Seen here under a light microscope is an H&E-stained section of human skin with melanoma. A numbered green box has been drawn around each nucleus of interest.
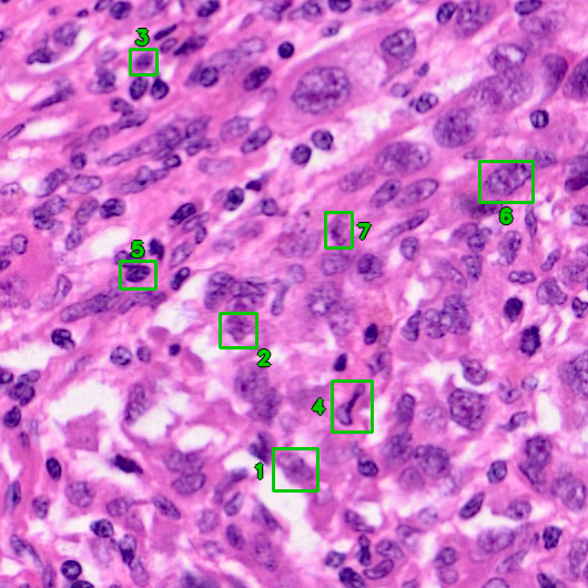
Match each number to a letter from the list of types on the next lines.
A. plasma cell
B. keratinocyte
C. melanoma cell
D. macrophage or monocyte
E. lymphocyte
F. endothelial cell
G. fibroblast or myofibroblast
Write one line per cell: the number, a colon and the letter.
1: C
2: C
3: A
4: D
5: E
6: C
7: C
